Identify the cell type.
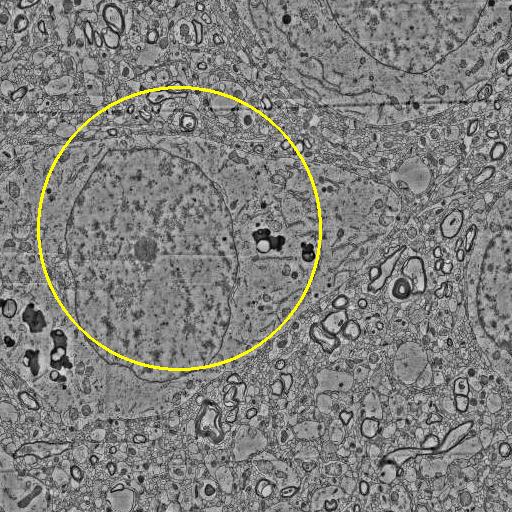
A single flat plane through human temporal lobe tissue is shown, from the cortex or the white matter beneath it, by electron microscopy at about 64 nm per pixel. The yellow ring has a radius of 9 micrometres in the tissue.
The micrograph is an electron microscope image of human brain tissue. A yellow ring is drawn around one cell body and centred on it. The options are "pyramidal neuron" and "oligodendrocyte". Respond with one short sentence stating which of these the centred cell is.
The cell body in the ring belongs to a pyramidal neuron.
